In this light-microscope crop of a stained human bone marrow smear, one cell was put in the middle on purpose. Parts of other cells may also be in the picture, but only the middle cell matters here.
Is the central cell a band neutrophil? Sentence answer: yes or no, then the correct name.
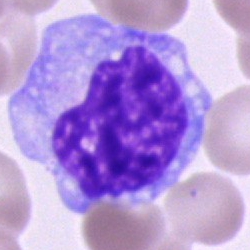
No, the centre of the crop contains a monocyte rather than a band neutrophil.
